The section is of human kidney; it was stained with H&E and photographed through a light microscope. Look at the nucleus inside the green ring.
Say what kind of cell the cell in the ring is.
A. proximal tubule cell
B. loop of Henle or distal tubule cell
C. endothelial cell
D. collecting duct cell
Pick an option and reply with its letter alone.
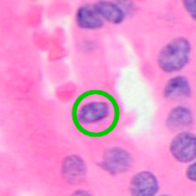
D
